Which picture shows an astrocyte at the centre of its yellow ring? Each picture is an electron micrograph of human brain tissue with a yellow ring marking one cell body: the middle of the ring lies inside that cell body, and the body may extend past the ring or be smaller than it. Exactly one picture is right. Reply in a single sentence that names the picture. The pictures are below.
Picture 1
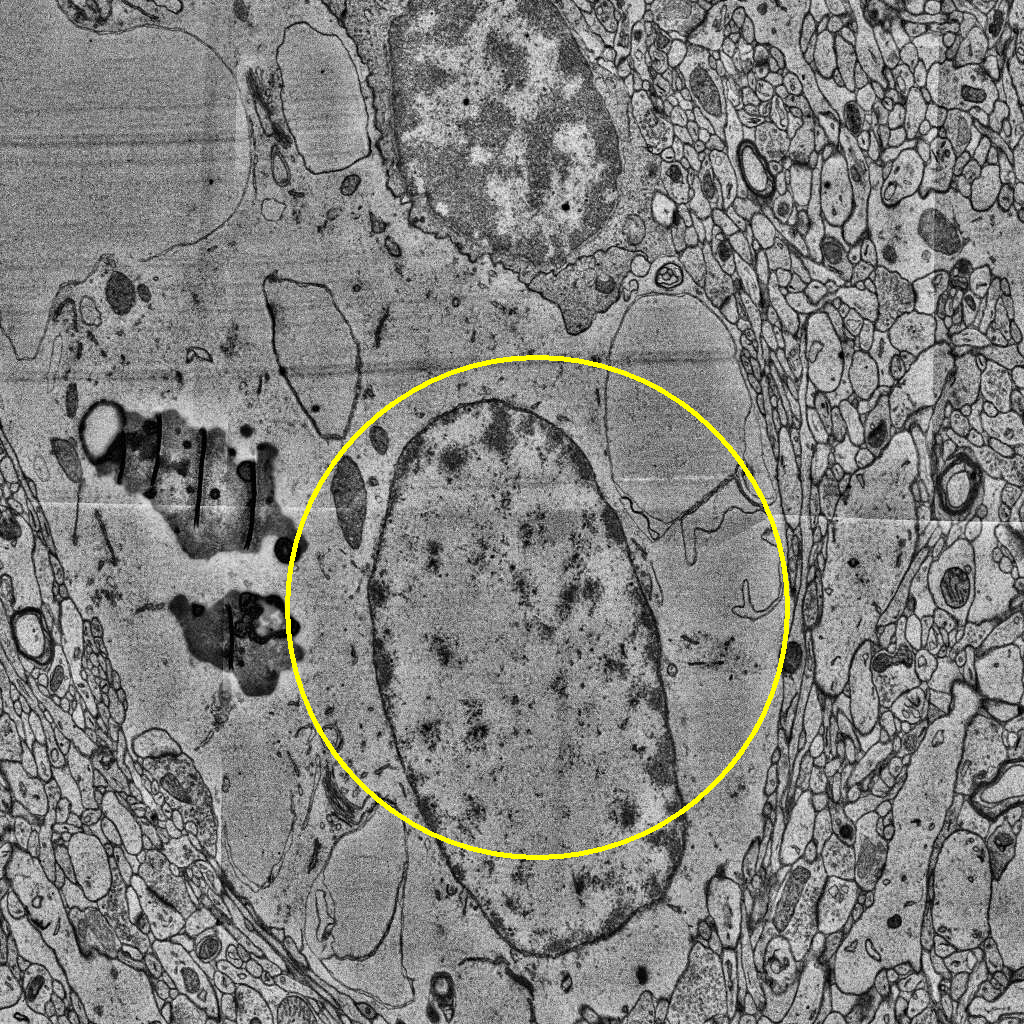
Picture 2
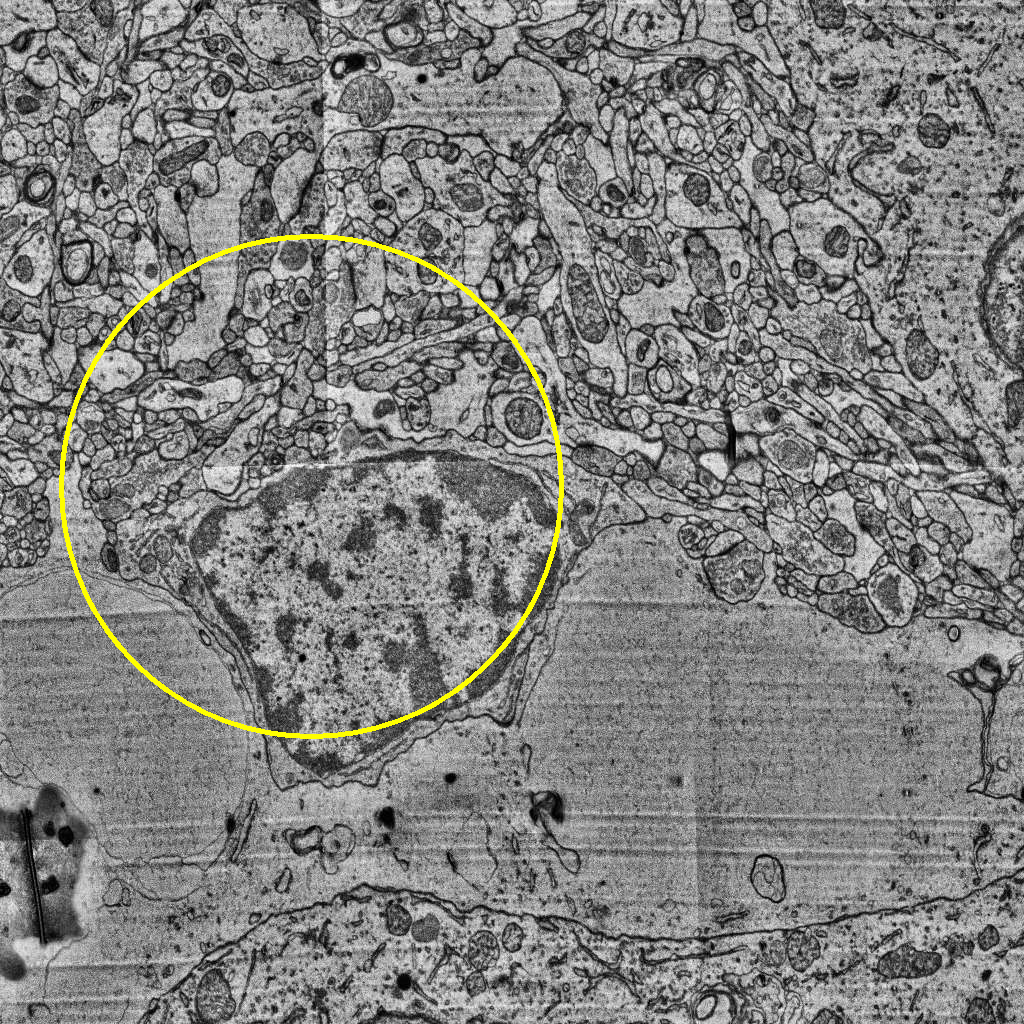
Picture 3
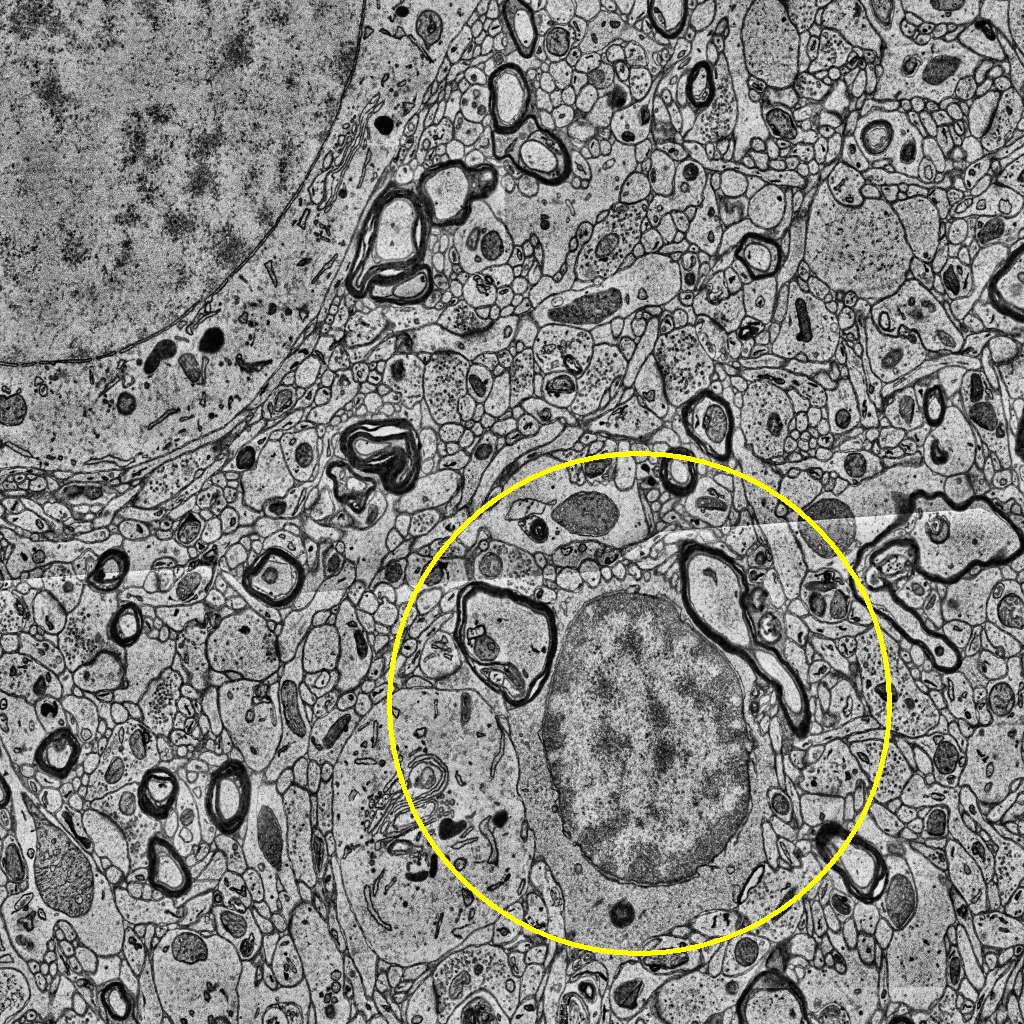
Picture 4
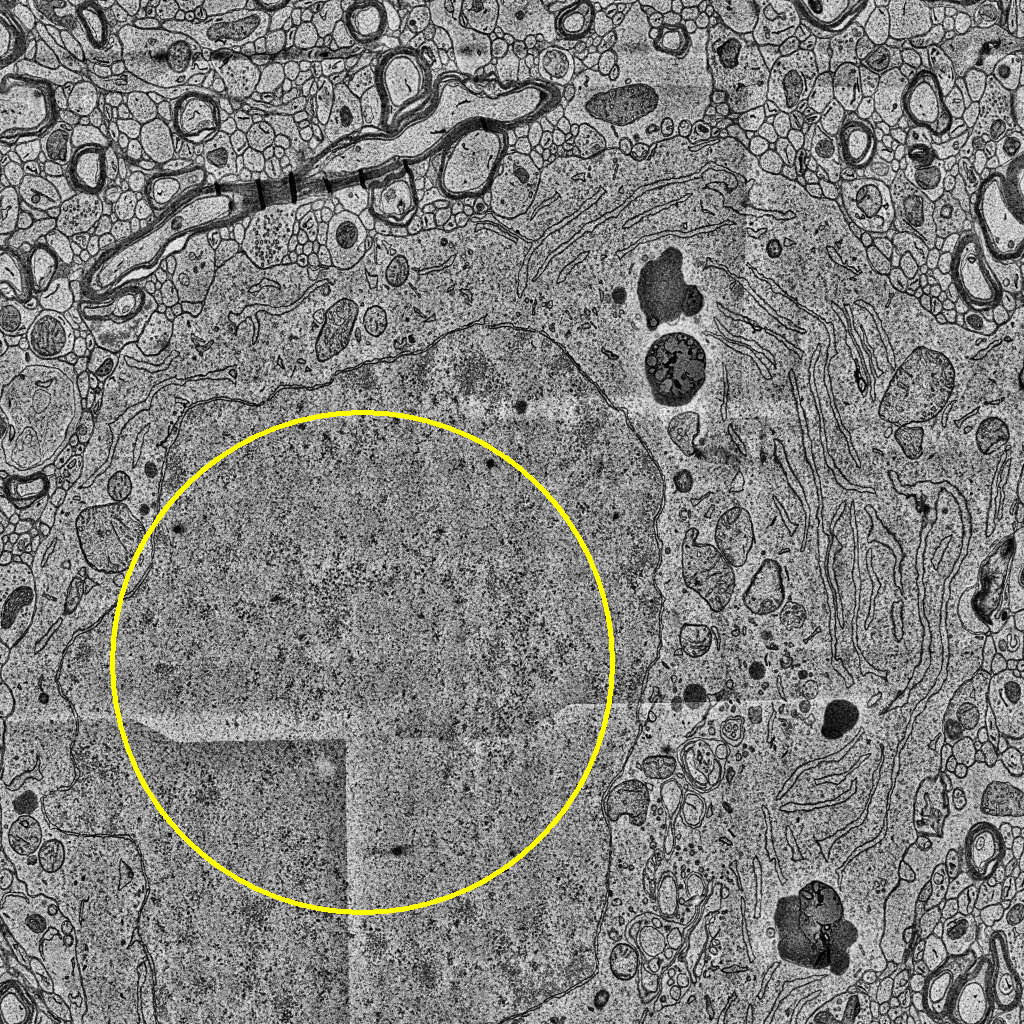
Picture 1 shows it.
